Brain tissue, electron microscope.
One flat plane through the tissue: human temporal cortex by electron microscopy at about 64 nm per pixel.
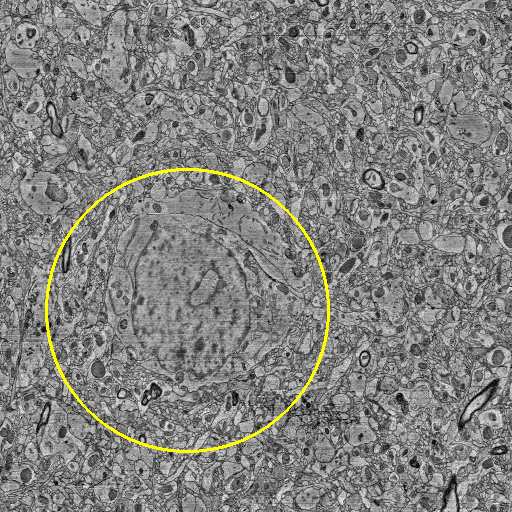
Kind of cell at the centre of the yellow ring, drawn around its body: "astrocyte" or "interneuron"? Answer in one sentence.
The ring's centre falls on an interneuron.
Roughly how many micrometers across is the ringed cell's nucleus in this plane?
Approximately 10 by 8 micrometers in this plane.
